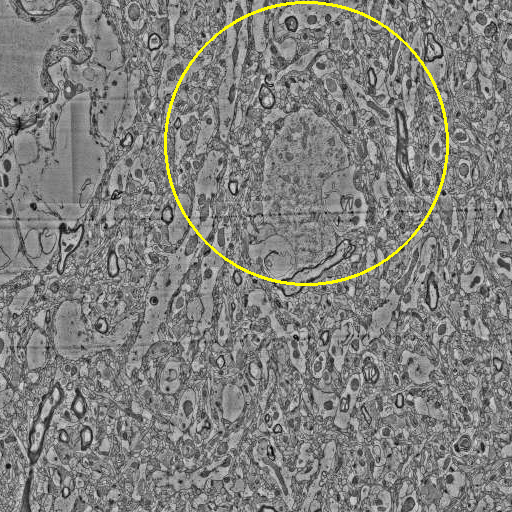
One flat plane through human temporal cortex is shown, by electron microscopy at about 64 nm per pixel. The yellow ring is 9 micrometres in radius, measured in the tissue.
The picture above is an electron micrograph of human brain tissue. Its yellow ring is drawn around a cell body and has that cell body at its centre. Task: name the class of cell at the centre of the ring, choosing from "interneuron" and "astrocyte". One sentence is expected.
The ring surrounds the body of an interneuron.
